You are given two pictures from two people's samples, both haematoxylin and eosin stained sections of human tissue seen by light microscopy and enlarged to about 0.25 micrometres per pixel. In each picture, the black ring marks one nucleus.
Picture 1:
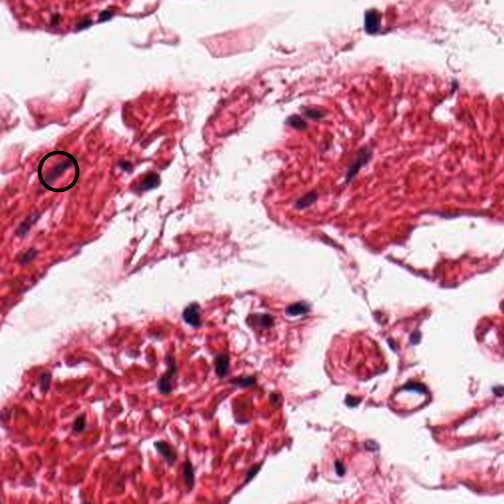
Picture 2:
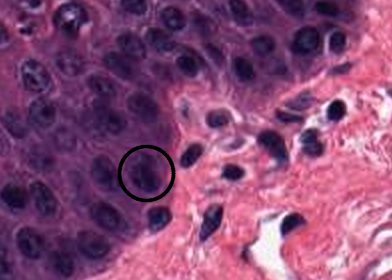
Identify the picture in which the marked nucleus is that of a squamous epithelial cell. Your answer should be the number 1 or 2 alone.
2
